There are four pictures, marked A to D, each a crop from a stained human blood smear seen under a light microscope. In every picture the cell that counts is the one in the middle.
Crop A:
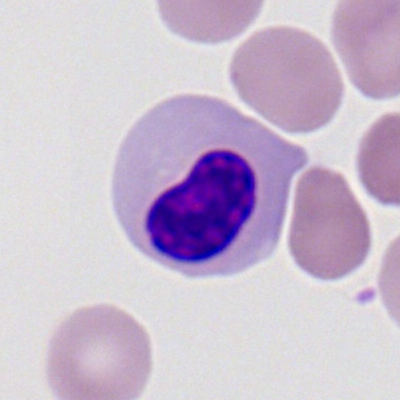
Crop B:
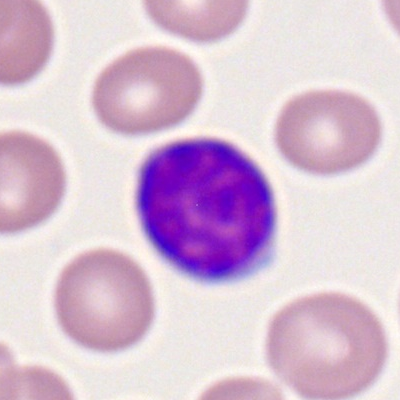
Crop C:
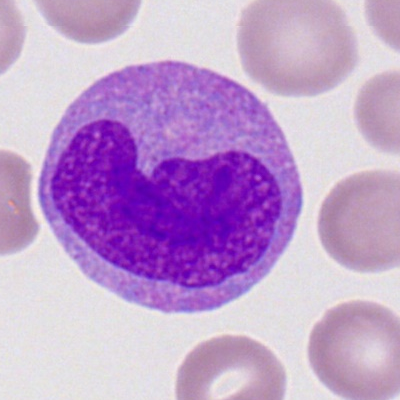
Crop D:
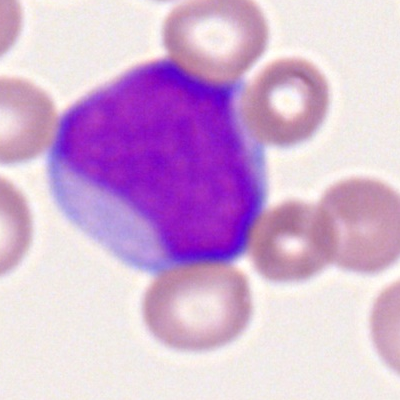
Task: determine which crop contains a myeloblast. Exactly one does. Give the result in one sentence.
On review of the set, crop D is the one showing a myeloblast.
